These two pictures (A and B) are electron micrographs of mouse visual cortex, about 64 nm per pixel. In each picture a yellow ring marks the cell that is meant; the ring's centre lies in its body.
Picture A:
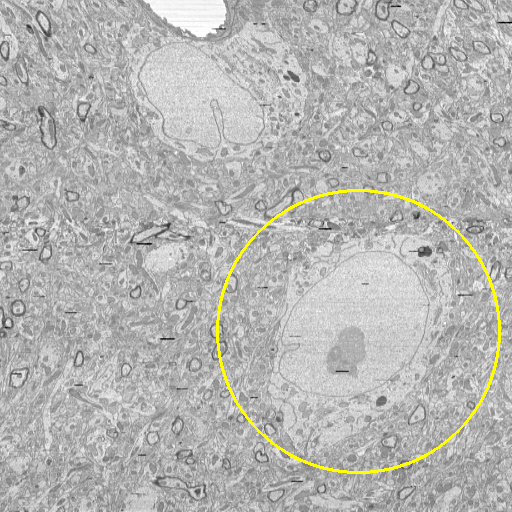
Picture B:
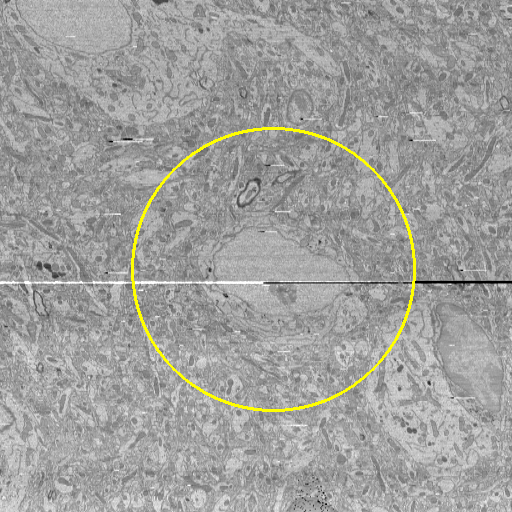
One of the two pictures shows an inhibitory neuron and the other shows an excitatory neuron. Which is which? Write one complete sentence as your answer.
In picture A the cell is an excitatory neuron; in picture B, an inhibitory neuron.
